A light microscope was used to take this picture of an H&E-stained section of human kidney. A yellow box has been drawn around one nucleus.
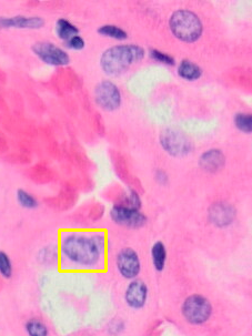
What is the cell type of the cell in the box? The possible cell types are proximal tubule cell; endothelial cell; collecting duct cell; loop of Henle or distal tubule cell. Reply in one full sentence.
The identity of the cell in the box is that of a collecting duct cell.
